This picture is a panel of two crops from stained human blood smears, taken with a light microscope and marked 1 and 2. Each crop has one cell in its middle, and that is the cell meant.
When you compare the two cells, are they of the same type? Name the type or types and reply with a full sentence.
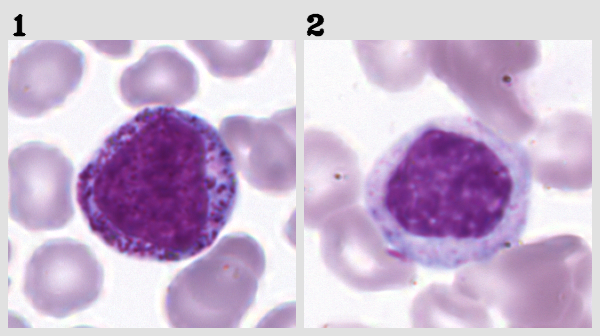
Yes, both the first crop and the second crop show myelocytes.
